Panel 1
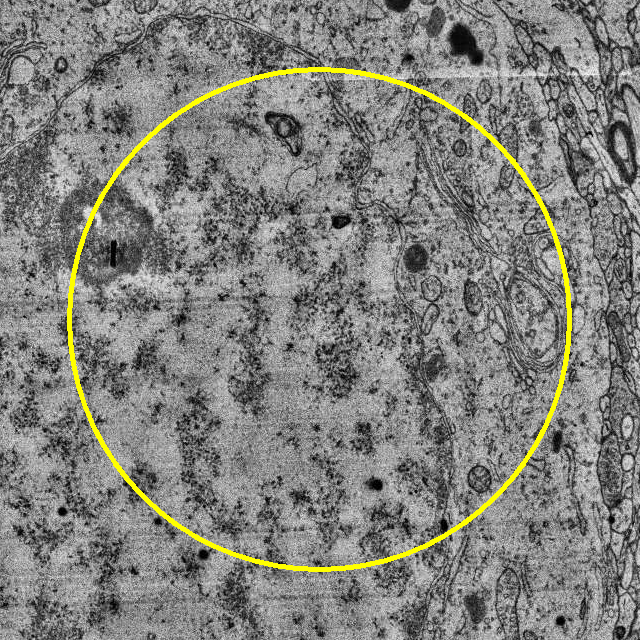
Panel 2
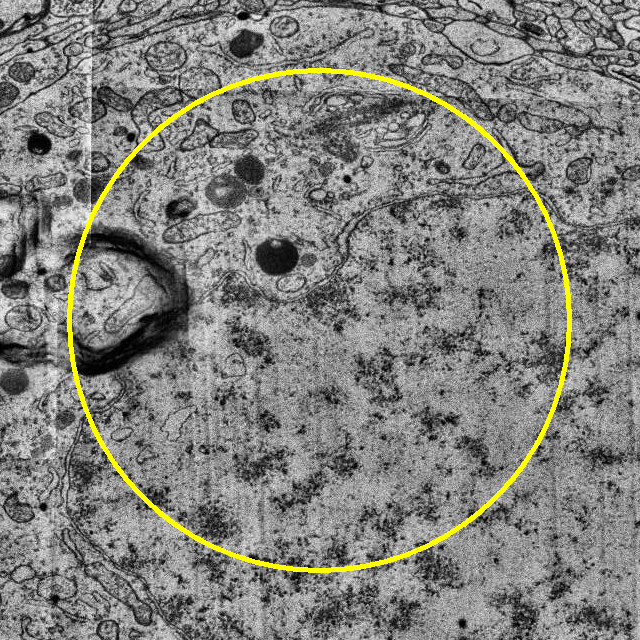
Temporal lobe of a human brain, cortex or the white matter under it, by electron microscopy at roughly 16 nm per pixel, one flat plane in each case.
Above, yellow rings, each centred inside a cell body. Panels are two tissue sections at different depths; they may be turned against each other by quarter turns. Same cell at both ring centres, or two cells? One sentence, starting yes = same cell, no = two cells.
Yes, one and the same cell lies under both rings.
